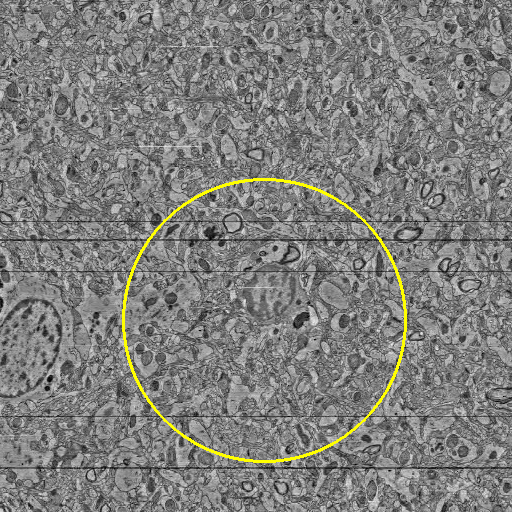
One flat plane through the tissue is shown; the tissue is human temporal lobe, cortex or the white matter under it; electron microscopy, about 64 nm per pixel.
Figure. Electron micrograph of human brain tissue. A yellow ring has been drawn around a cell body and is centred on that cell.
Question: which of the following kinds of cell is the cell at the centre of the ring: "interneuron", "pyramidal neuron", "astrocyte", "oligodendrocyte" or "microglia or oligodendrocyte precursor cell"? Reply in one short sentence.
The cell at the centre of the ring is an oligodendrocyte.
